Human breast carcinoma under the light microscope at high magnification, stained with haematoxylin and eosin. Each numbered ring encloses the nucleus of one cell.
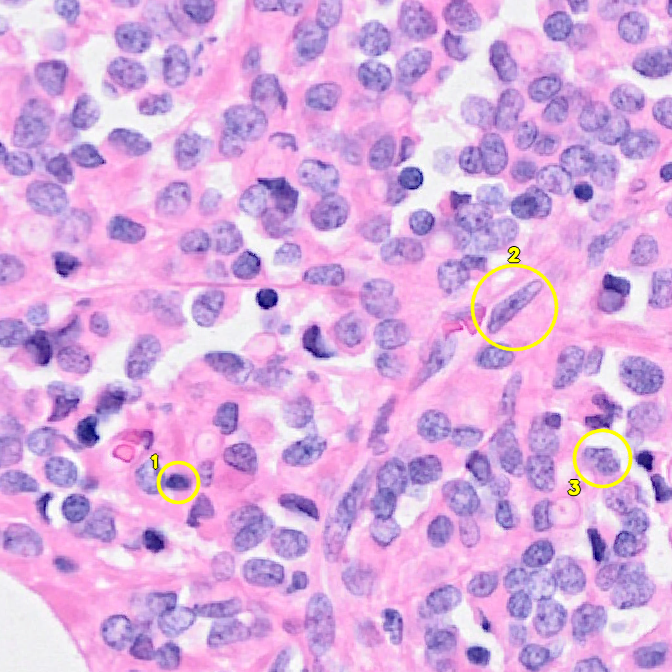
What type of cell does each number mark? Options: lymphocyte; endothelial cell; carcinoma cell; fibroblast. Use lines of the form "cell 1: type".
cell 1: lymphocyte
cell 2: endothelial cell
cell 3: carcinoma cell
